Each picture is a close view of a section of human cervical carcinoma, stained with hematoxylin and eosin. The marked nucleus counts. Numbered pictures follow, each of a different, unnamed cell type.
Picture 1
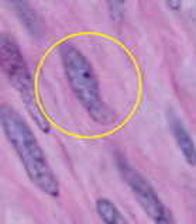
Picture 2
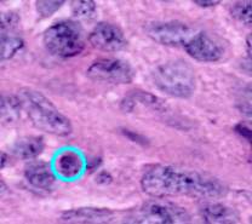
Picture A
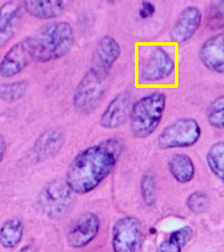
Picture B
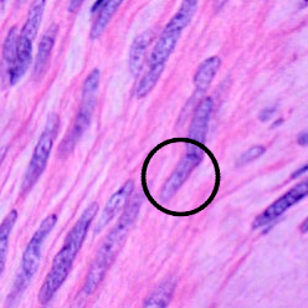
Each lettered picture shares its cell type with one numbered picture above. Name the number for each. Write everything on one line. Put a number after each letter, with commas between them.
A 2, B 1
